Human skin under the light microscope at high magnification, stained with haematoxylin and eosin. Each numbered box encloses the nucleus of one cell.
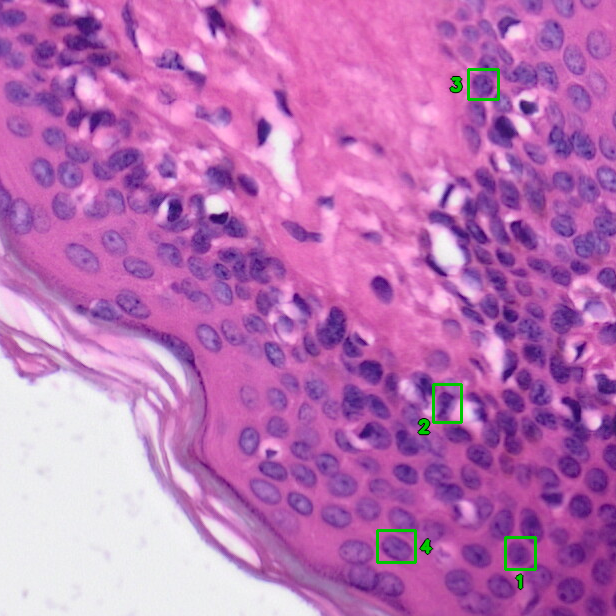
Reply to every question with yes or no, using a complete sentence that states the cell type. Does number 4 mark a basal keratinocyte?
No, number 4 marks a suprabasal keratinocyte rather than a basal keratinocyte.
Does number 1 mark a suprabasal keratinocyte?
Yes, the numbered cell 1 is identified as a suprabasal keratinocyte.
